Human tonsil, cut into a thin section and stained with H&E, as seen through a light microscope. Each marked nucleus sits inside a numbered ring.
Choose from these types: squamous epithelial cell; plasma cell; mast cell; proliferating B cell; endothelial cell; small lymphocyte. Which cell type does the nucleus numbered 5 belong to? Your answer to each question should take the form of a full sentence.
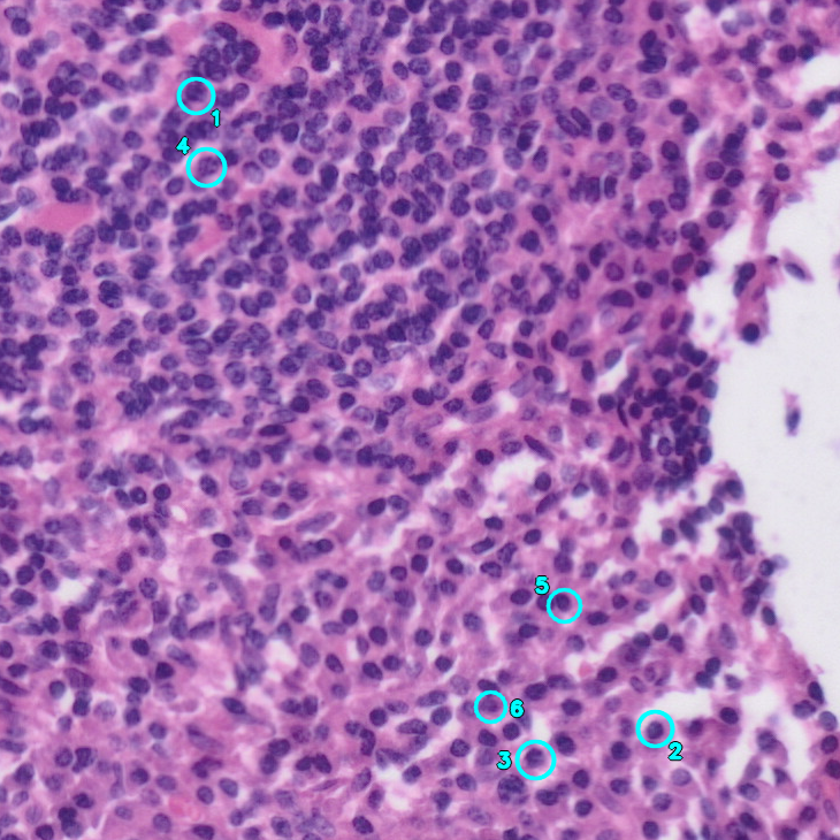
Here, the cell given the number 5 is a plasma cell.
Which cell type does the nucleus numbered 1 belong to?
The cell given label 1 is a small lymphocyte.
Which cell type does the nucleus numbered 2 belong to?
The nucleus with number 2 is that of a plasma cell.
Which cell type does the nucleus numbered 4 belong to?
Cell 4, as marked in the section, is a small lymphocyte.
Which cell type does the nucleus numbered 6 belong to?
Cell 6, as marked in the section, is a plasma cell.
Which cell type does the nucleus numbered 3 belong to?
The identity of cell 3 is that of a plasma cell.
